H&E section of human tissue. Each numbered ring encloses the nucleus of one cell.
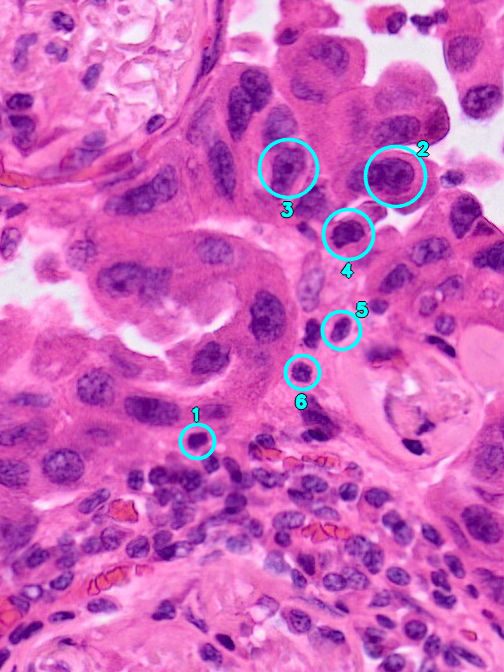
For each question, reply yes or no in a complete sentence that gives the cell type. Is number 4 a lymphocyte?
No, the cell given the number 4 is a carcinoma cell, so not a lymphocyte.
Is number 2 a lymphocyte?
No, the cell with the number 2 is a carcinoma cell, not a lymphocyte.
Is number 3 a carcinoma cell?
Yes, that is so; number 3 marks a carcinoma cell.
